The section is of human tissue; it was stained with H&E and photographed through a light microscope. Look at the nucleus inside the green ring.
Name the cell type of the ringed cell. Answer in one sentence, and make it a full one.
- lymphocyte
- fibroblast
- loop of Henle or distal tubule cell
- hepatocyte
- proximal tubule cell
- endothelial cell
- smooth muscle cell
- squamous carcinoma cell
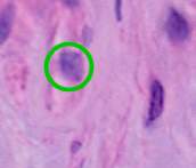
Cell type answer for this item: the ringed cell is an endothelial cell.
